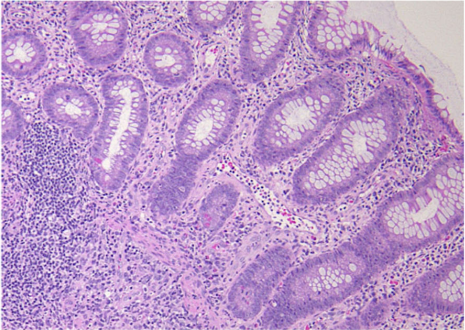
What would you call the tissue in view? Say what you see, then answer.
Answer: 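Colon. Straight tubular crypts cut in cross and longitudinal section. Crypts lined by columnar epithelium rich in pale goblet cells. Cellular lamina propria between the crypts.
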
